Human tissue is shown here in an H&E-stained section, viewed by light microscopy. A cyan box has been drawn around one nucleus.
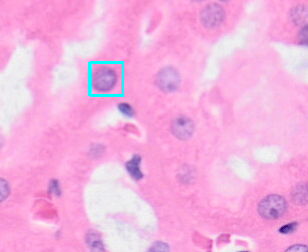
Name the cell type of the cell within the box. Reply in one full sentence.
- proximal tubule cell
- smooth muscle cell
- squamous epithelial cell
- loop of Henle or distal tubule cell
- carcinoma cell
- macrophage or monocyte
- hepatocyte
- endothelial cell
The cell type of the cell within the box is that of a proximal tubule cell.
